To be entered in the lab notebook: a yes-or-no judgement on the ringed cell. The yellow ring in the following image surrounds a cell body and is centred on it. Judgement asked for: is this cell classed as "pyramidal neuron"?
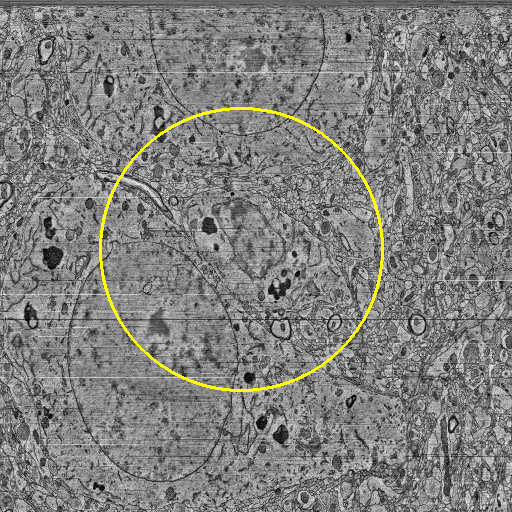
No, it falls in another class.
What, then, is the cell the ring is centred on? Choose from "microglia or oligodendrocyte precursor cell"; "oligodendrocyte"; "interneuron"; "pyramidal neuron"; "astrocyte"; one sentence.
The correct answer is that the cell is an interneuron.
